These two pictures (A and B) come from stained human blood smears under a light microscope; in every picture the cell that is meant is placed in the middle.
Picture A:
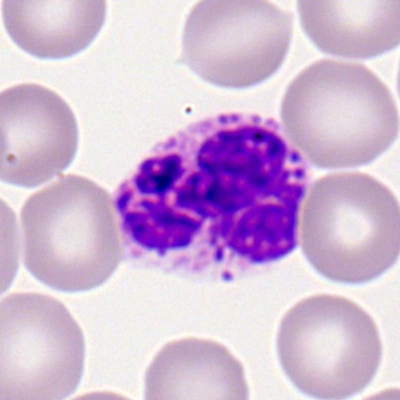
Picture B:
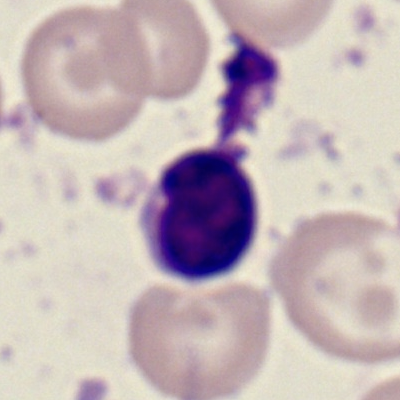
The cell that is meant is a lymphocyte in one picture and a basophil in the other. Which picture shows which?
A: basophil
B: lymphocyte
